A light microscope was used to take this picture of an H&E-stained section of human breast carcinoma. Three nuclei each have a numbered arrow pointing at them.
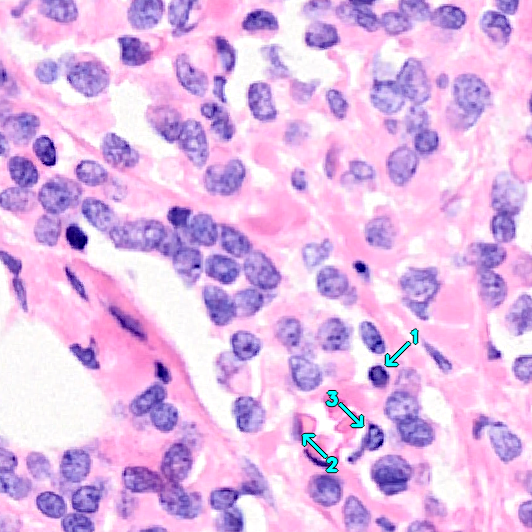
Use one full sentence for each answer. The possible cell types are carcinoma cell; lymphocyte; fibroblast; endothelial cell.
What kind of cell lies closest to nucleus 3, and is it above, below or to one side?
Just below and to the left of nucleus 3 lies the nearest nucleus, which belongs to an endothelial cell.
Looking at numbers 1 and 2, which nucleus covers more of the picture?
Nucleus 1 covers more area, about 1.5 times as much as nucleus 2.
